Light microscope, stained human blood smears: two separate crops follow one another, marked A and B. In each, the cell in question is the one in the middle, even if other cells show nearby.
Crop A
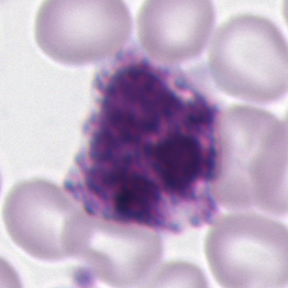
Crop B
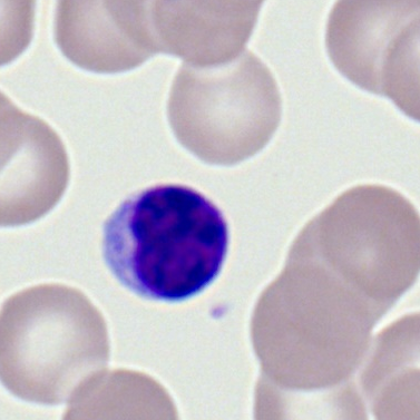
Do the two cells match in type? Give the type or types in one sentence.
No, a basophil is depicted by crop A, a lymphocyte by crop B.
